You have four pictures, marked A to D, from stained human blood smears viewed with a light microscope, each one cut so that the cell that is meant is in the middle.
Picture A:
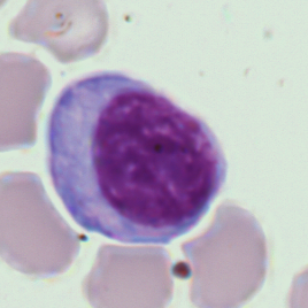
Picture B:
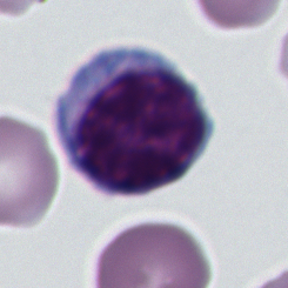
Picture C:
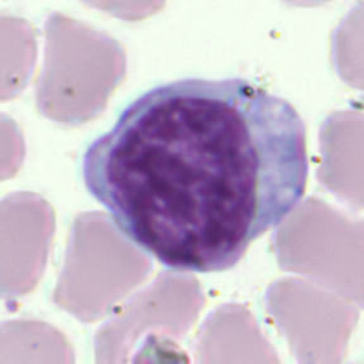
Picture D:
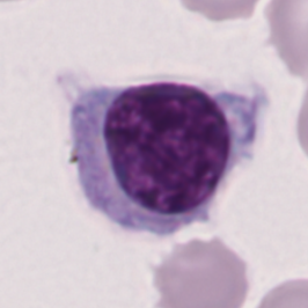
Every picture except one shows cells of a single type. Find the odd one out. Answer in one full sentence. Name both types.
Picture B is the odd one out: it shows a typical lymphocyte, while the others show plasma cells.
